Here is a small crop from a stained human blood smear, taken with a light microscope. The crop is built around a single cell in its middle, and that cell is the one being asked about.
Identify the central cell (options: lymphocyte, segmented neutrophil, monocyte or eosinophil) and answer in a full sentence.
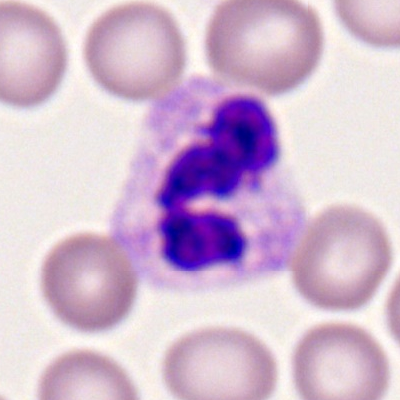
For this crop, the central cell is a segmented neutrophil.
